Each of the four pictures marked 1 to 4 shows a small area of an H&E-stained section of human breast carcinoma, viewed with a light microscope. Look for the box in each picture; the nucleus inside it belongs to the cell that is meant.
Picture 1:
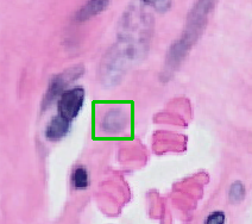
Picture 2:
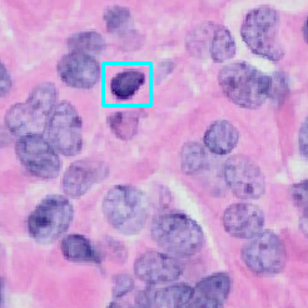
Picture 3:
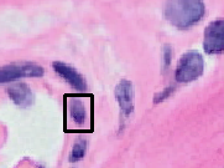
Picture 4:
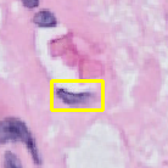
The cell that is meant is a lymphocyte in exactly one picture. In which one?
2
